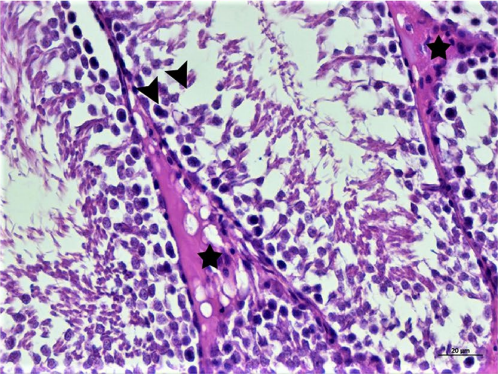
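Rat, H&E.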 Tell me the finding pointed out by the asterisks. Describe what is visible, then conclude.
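The space between two tubules is filled with a broad band of pale pink homogeneous material. Clear round vacuoles lie within the pink material. On this evidence: edema.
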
